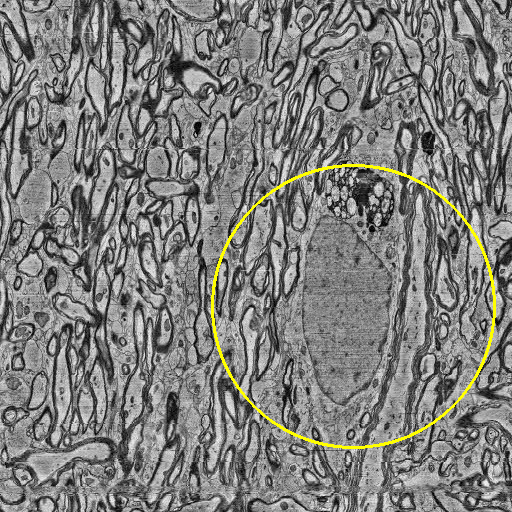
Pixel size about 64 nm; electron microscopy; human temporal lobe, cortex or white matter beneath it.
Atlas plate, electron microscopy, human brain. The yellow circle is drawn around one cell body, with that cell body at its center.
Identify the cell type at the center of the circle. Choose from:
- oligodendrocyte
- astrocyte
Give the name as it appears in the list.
astrocyte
